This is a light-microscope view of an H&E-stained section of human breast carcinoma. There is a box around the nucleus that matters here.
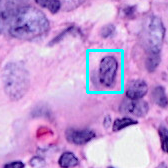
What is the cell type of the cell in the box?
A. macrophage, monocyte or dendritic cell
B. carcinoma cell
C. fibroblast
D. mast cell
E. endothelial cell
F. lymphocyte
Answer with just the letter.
A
